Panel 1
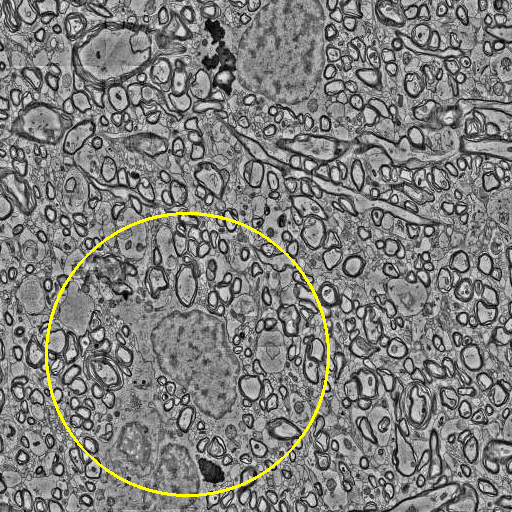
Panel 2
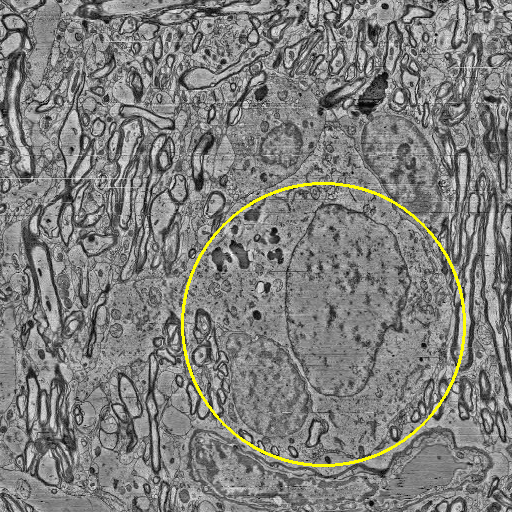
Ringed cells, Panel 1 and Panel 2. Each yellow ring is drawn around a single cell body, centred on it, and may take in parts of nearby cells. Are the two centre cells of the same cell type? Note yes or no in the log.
no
